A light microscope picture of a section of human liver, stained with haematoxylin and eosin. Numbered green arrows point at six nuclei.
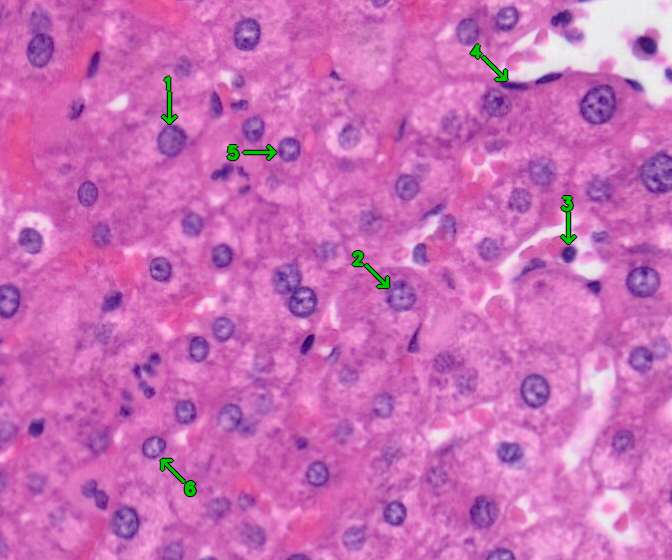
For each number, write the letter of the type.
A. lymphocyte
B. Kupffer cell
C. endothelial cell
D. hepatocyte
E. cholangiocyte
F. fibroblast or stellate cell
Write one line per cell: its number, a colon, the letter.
1: D
2: D
3: A
4: F
5: D
6: D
